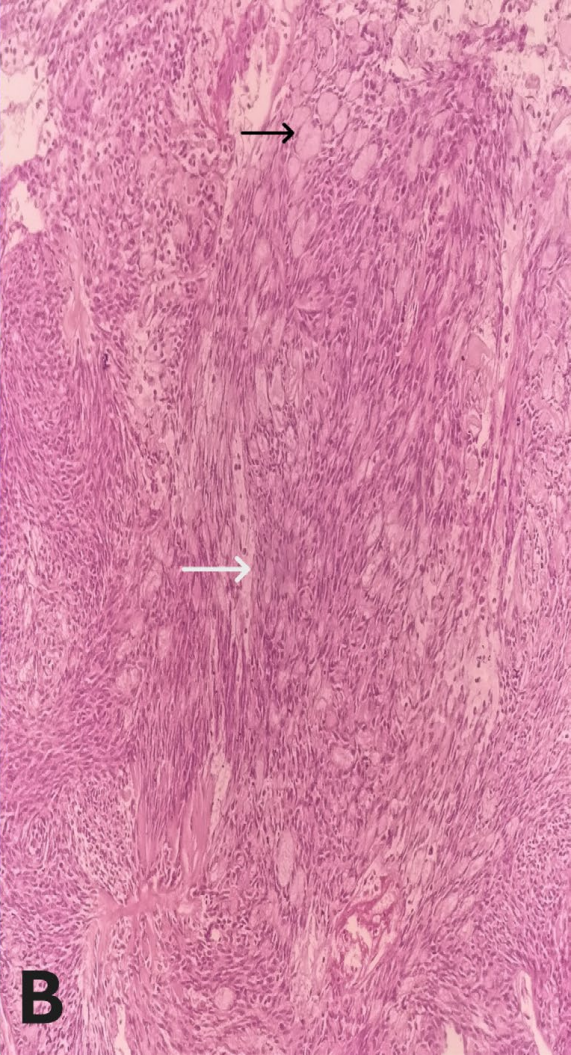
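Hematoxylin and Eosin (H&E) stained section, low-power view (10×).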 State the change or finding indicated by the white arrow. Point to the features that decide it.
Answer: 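Dense streaming fascicles of elongated cells fill the centre. Nuclei are spindle-shaped to ovoid, crowded together.
Hence: spindle to epithelioid cell proliferation.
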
